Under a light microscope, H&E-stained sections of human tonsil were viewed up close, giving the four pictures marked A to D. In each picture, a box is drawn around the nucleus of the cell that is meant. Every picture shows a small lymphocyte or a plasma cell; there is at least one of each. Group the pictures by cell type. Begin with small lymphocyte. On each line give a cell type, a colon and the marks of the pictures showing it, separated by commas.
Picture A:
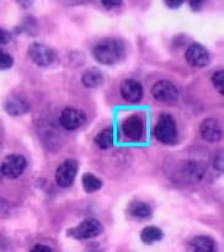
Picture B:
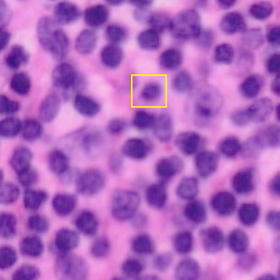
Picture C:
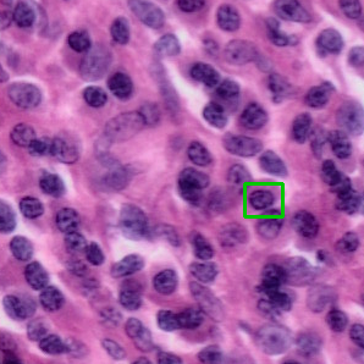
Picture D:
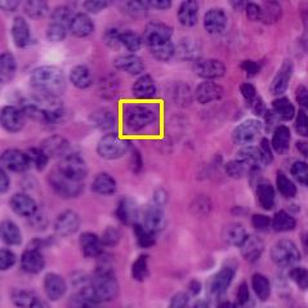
small lymphocyte: B
plasma cell: A, C, D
